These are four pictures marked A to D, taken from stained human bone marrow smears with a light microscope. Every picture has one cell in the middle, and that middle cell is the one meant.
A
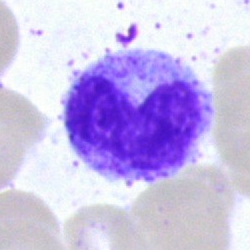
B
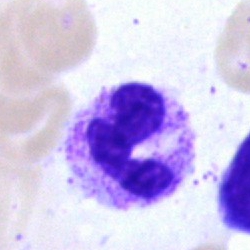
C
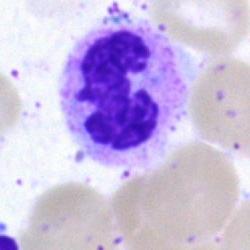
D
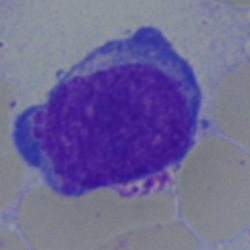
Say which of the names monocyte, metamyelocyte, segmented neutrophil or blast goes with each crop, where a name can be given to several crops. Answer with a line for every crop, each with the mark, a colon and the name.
A: metamyelocyte
B: segmented neutrophil
C: segmented neutrophil
D: blast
